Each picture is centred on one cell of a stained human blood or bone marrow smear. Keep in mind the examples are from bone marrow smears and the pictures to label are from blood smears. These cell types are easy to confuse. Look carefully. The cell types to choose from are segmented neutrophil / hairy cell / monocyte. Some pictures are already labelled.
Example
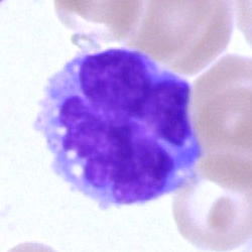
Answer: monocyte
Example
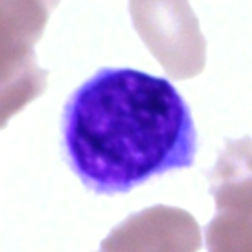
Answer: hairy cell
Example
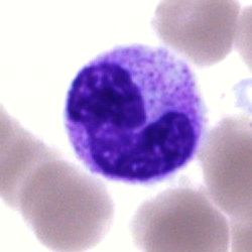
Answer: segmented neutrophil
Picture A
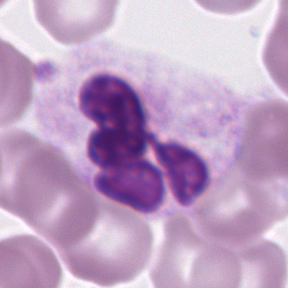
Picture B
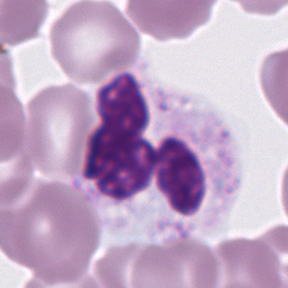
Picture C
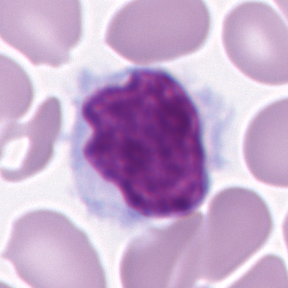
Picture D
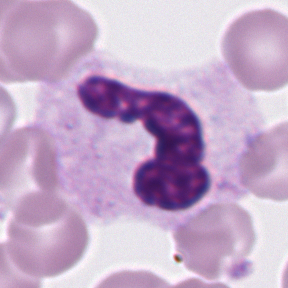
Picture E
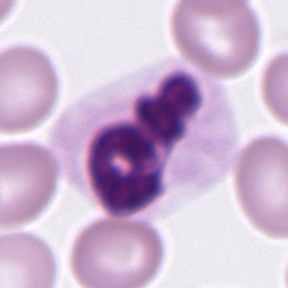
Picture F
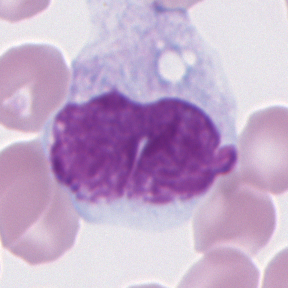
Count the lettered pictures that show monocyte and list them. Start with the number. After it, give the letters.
1: F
